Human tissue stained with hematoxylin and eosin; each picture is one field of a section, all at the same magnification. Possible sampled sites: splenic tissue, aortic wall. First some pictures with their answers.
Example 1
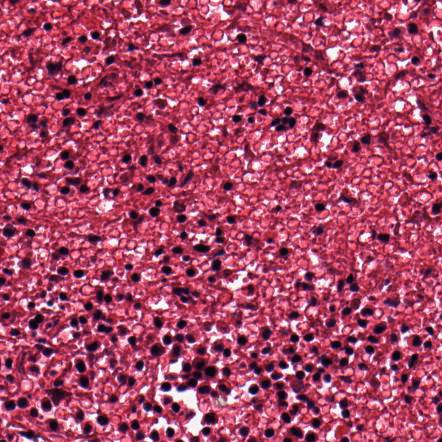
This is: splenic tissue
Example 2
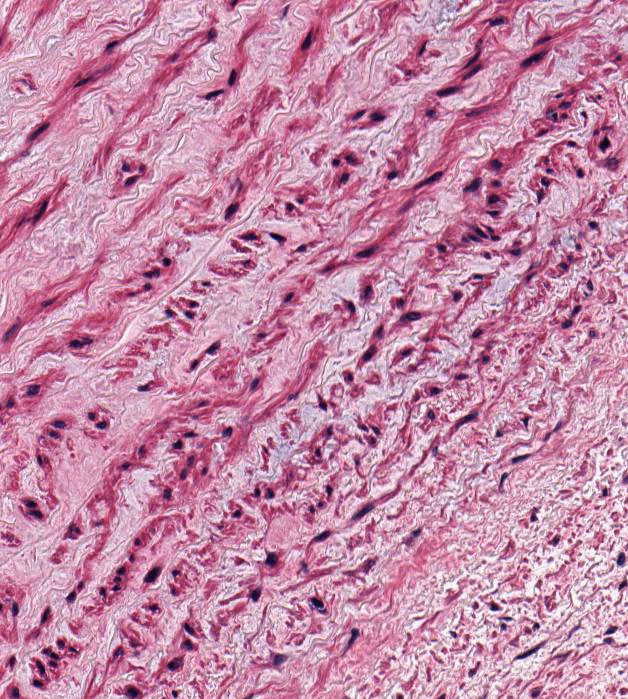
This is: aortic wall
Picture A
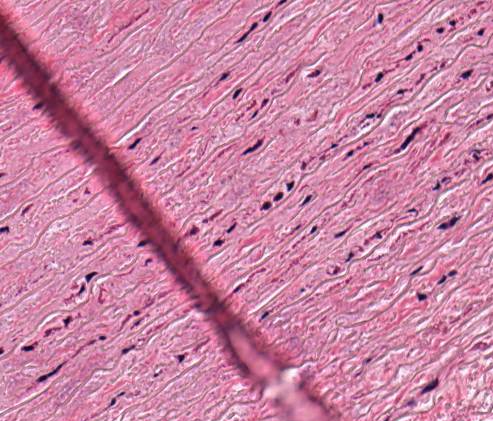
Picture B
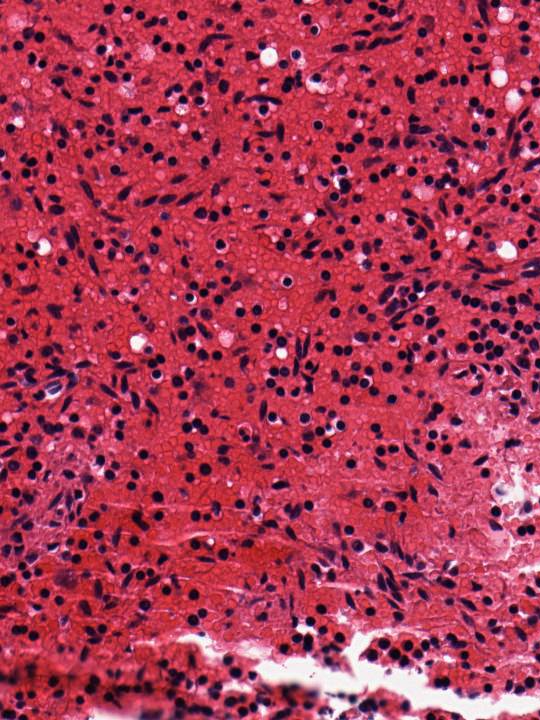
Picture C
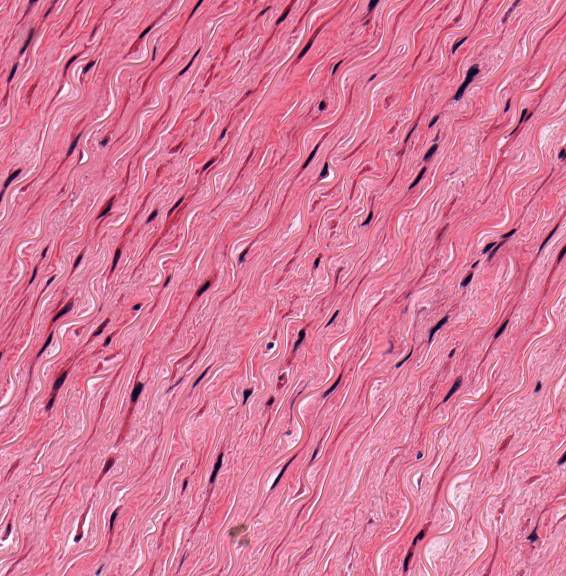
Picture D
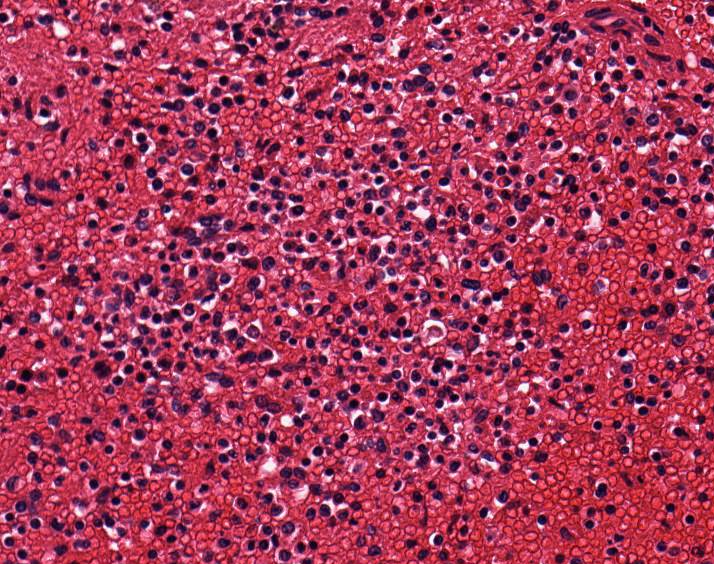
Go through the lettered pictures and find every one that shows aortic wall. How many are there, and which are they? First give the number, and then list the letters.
Count: 2 (A, C)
